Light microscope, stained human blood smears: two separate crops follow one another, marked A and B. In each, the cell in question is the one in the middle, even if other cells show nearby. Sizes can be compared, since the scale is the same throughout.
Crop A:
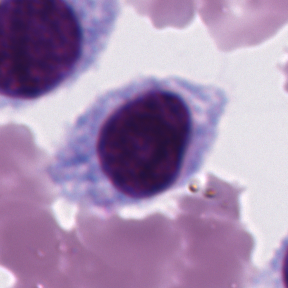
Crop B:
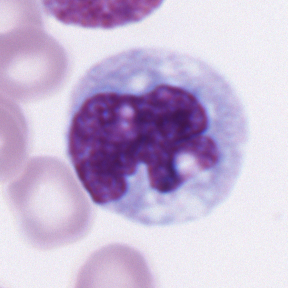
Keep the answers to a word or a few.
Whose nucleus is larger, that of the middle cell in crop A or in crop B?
B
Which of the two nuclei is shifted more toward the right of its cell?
A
